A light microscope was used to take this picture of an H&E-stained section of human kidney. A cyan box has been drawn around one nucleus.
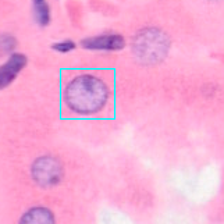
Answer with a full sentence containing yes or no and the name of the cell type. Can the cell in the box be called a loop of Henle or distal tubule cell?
No, score the cell in the box as a proximal tubule cell; it is not a loop of Henle or distal tubule cell.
